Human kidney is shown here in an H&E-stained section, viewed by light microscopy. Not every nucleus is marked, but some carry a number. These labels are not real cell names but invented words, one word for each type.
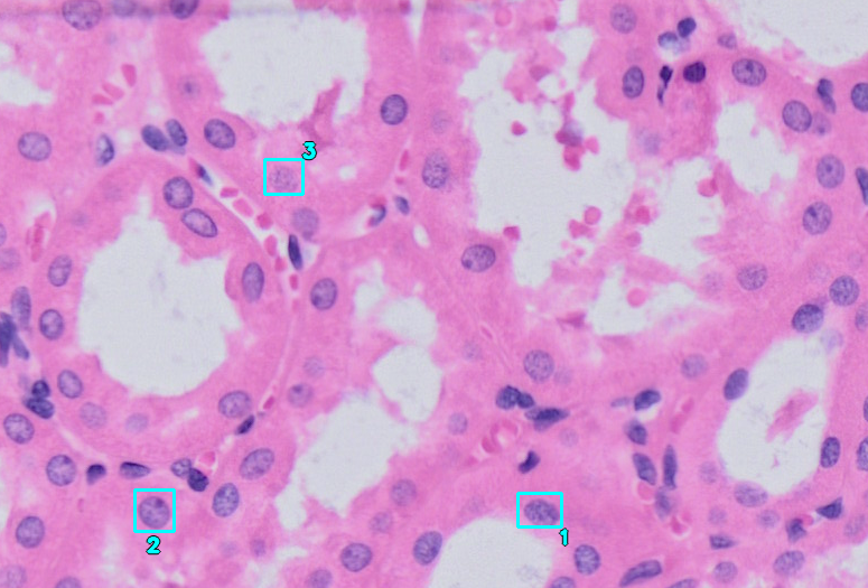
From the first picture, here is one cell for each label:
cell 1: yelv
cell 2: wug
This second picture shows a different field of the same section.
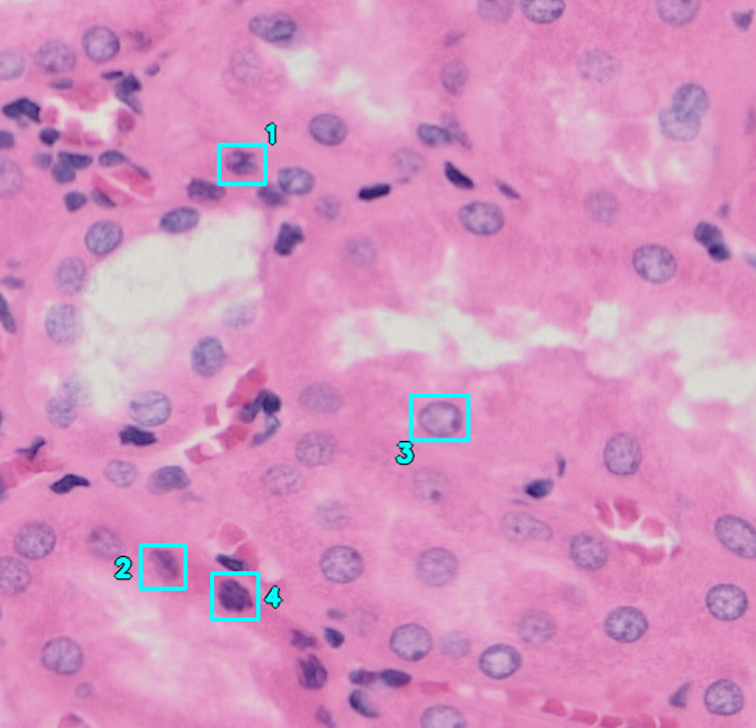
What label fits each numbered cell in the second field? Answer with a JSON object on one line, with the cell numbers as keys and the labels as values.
{"1": "yelv", "2": "wug", "3": "wug", "4": "wug"}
